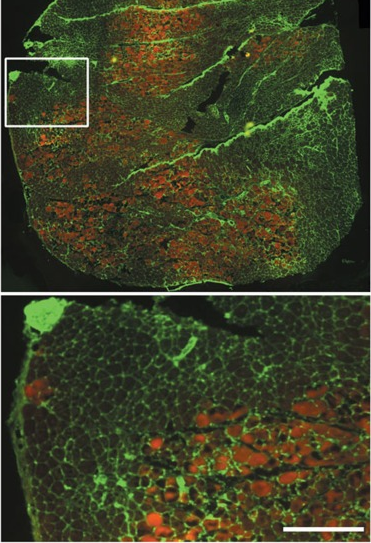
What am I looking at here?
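A transverse section through a whole skeletal muscle shows many closely packed, polygonal muscle fibres. Each fibre is outlined by a thin green border, so the section looks like a fine green honeycomb. Broader green bands run across the section between groups of fibres and along the outer edge. Many fibres are filled with red, and these lie in patches and clusters, mostly in the central and lower parts of the section, while other areas hold only unfilled fibres. A boxed region is shown enlarged below, where red-filled fibres of varying size sit beside empty fibres with green outlines. The section has a few clefts.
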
